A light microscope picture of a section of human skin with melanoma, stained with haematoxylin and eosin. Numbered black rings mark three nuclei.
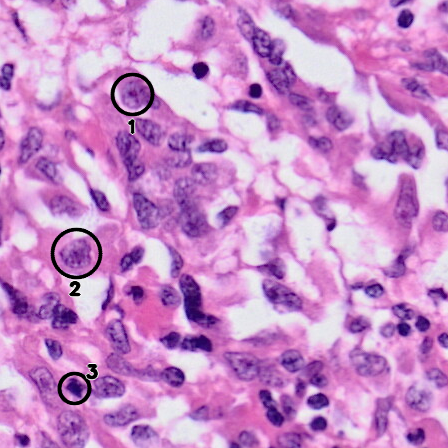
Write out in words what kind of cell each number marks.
Cells 1 and 2 are melanoma cells. Cell 3 is a lymphocyte.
